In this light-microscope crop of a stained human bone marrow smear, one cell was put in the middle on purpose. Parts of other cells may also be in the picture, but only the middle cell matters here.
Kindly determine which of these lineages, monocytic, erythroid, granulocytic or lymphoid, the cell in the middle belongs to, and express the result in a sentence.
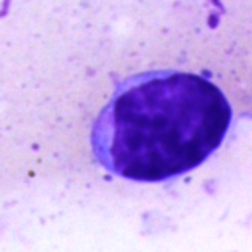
The centered cell is one of the lymphoid lineage.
